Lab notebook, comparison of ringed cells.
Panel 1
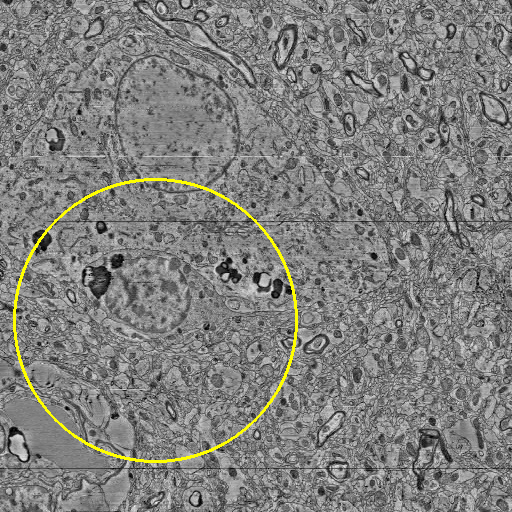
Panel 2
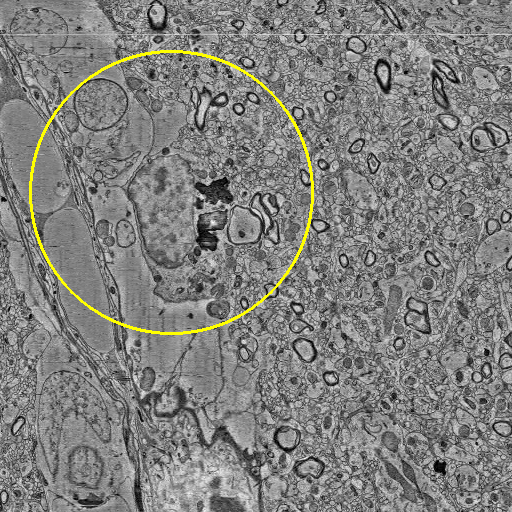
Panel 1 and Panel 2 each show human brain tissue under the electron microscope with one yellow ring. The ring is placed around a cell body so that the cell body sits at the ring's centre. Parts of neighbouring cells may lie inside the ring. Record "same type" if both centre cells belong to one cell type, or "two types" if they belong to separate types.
same type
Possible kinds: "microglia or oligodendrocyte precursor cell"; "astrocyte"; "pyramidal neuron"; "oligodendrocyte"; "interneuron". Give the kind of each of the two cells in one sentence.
The second cell is an oligodendrocyte, just as the first is.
